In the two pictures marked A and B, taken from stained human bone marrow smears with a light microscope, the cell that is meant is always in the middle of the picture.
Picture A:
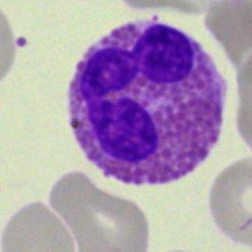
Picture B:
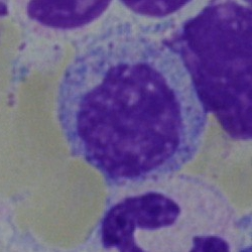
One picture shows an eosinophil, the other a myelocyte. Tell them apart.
A: eosinophil
B: myelocyte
